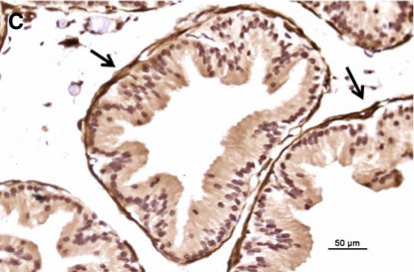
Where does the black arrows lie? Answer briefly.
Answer: Outer stroma layer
